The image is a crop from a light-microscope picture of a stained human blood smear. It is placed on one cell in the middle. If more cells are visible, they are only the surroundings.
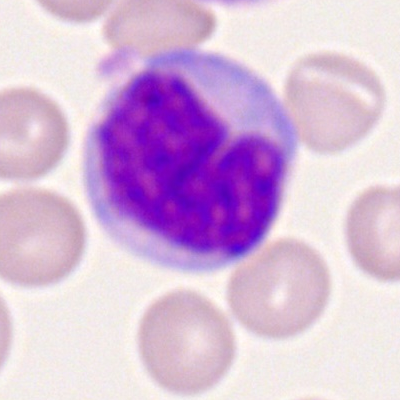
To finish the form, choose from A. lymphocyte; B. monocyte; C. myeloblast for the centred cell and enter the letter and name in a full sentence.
Option B is the right choice, the central cell being a monocyte.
